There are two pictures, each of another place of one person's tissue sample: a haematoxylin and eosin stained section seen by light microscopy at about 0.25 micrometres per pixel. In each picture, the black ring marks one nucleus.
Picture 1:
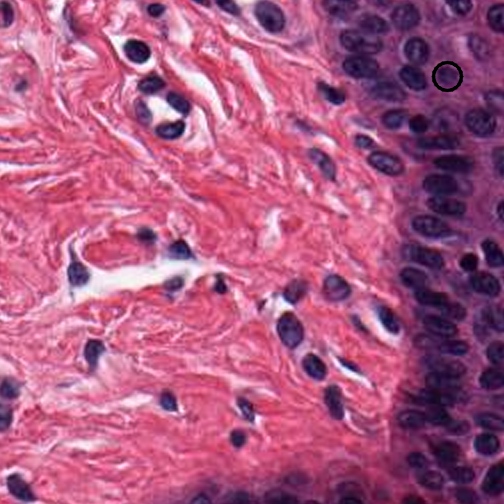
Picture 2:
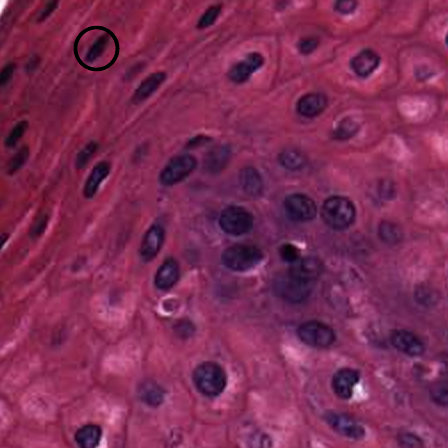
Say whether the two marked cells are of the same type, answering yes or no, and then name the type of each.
Yes, both are squamous epithelial cells.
